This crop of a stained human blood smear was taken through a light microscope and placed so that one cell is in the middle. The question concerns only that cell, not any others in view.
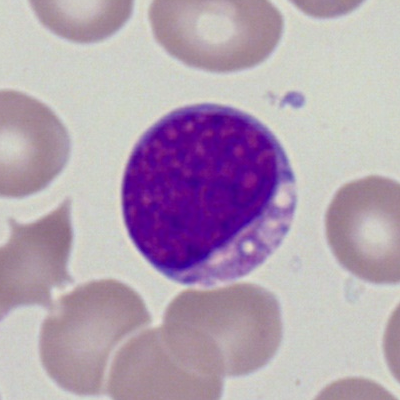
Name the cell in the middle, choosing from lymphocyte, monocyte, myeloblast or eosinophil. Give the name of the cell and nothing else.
myeloblast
